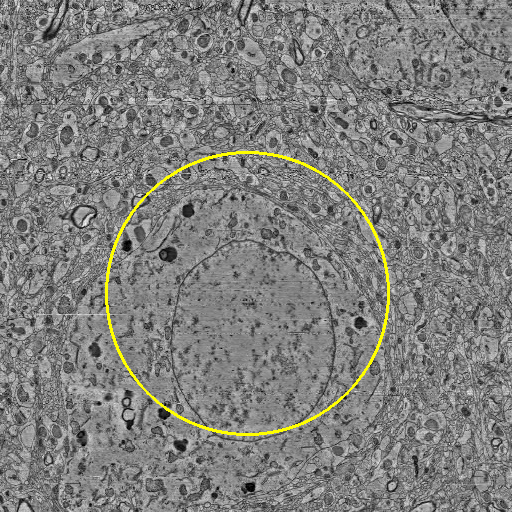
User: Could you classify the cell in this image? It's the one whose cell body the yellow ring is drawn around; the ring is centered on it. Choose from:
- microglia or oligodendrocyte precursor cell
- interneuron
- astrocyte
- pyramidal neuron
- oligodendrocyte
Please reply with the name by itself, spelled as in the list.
pyramidal neuron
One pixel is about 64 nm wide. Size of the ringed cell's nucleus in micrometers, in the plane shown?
About 13 micrometres across in this plane.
